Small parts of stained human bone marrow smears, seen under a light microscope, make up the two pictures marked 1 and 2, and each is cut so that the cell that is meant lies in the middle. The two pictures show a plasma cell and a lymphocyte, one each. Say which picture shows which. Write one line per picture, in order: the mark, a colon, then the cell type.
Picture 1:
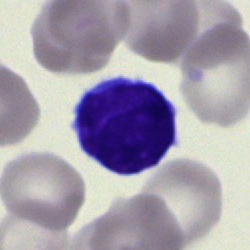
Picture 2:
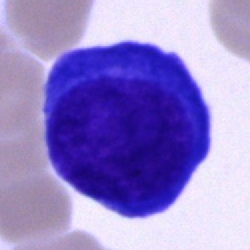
1: lymphocyte
2: plasma cell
